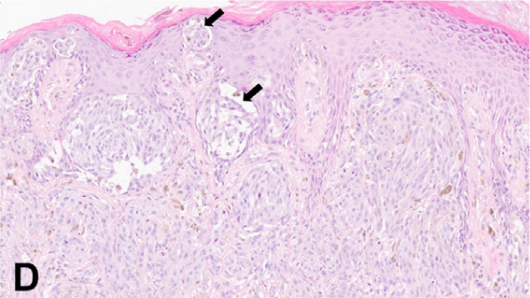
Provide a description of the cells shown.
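Skin showing epidermal and dermal nests of epithelioid and spindled melanocytes. Rounded nests of pale cells with ample pale pink cytoplasm sit at the junction between epidermis and dermis and extend into the upper dermis, where the nests become larger and more crowded. Some cells are plump and polygonal, others elongated. Several junctional nests are set off from the surrounding epidermal keratinocytes by a clear cleft. The overlying epidermis is thickened with a pink cornified surface. Scattered brown pigment lies among the nests and in the dermis.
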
